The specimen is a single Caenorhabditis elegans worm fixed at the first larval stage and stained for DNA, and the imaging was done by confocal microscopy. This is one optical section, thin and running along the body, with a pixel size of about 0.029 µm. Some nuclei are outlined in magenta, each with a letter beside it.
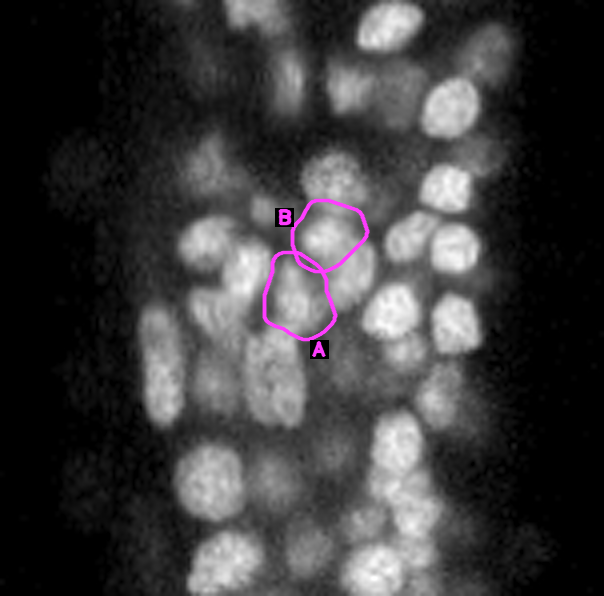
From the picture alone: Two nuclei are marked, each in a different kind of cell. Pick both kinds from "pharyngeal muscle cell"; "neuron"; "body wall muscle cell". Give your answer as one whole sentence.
A belongs to a pharyngeal muscle cell and B to a neuron.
